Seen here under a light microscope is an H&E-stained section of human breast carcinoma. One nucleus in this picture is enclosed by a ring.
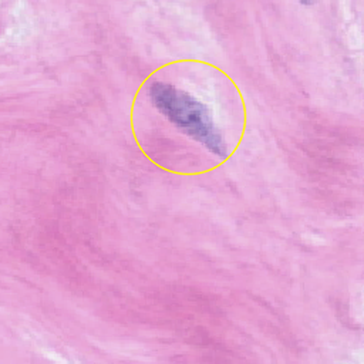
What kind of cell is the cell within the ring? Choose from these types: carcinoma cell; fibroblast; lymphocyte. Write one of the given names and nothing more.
fibroblast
